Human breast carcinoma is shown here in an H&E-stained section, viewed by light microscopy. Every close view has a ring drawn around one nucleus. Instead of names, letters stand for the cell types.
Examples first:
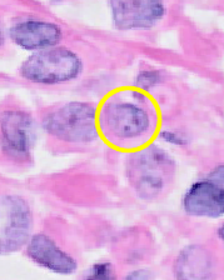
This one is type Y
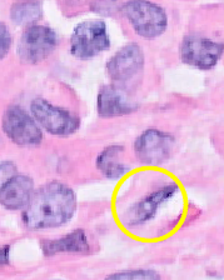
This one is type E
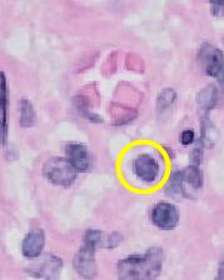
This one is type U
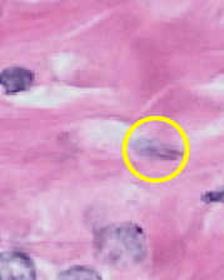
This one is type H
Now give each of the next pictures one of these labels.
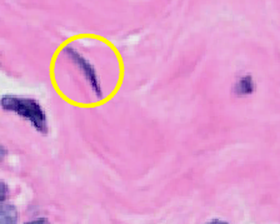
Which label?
type H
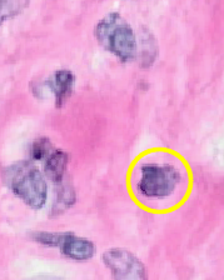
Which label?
type U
